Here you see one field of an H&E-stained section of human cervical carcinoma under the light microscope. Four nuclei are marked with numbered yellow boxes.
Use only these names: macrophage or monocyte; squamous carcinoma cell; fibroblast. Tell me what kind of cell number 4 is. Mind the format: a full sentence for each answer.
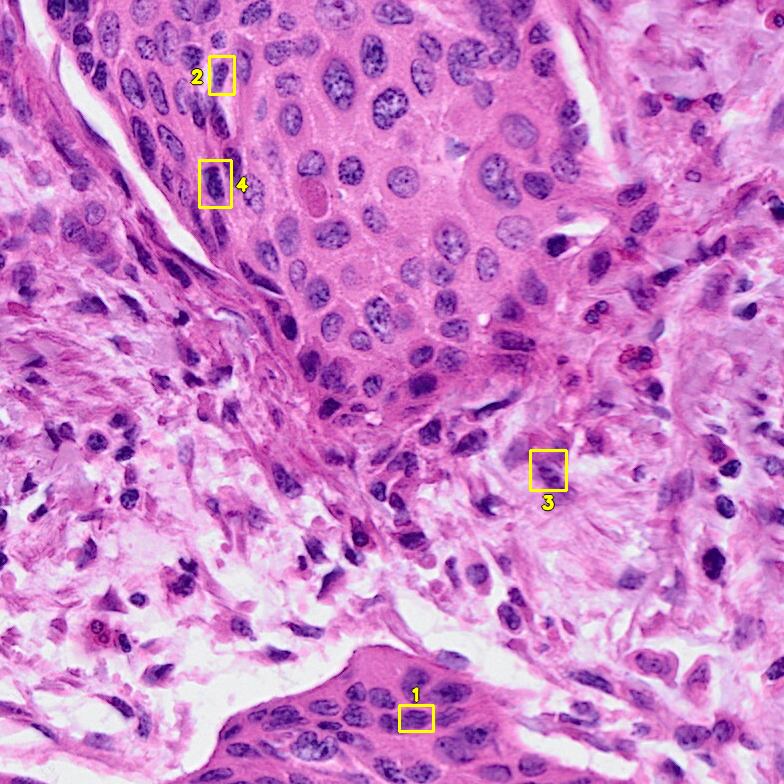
To a squamous carcinoma cell belongs the nucleus marked 4.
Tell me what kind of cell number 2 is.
The cell numbered 2 has been identified as a squamous carcinoma cell.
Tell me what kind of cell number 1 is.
The cell indicated by marker 1 is a squamous carcinoma cell in this section.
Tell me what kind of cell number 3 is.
The cell with the number 3 is a fibroblast.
